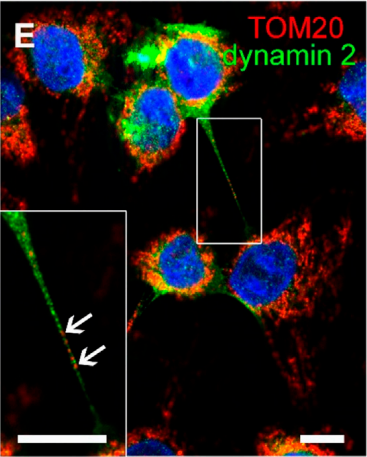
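A thin straight green strand extends between two separate cells. Small red dots lie along this strand, shown enlarged in the inset at lower left.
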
